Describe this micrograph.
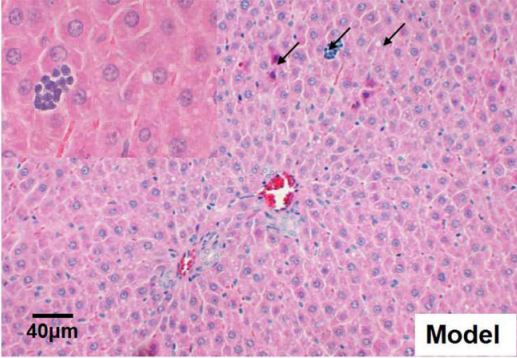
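Liver tissue with plates of polygonal parenchymal cells arranged around a central vein that holds red blood cells. The parenchymal cells have round, central, pale nuclei with visible nucleoli and pink cytoplasm. An inset shows one focus at higher magnification as a tight cluster of small dark nuclei wedged between the larger cells. The sinusoids between the plates are narrow.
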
